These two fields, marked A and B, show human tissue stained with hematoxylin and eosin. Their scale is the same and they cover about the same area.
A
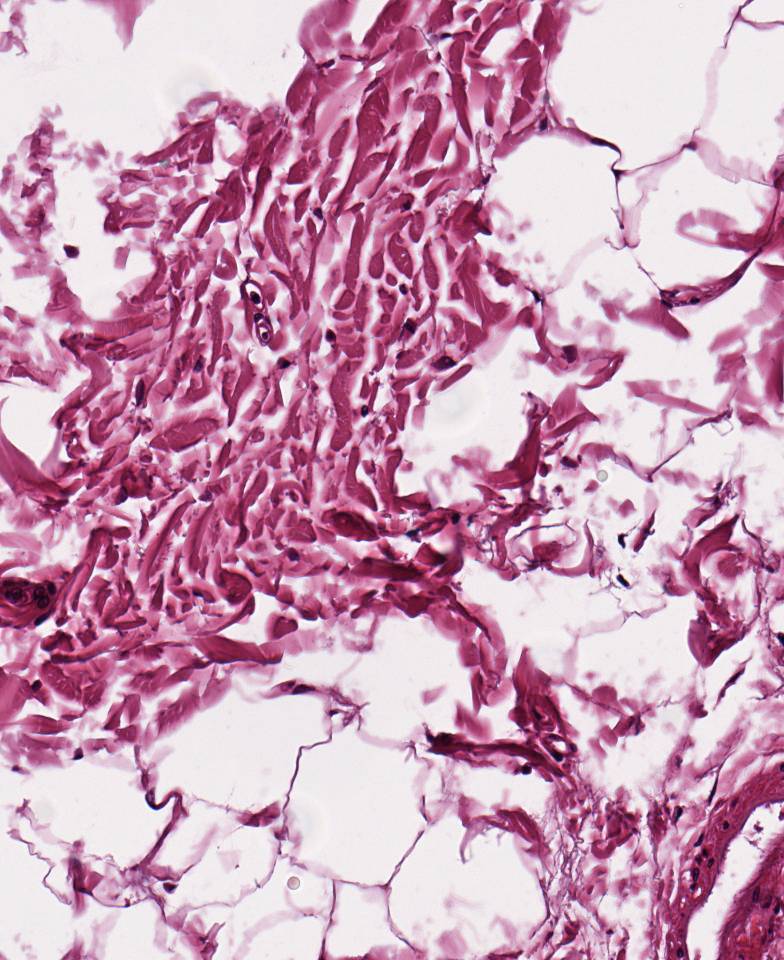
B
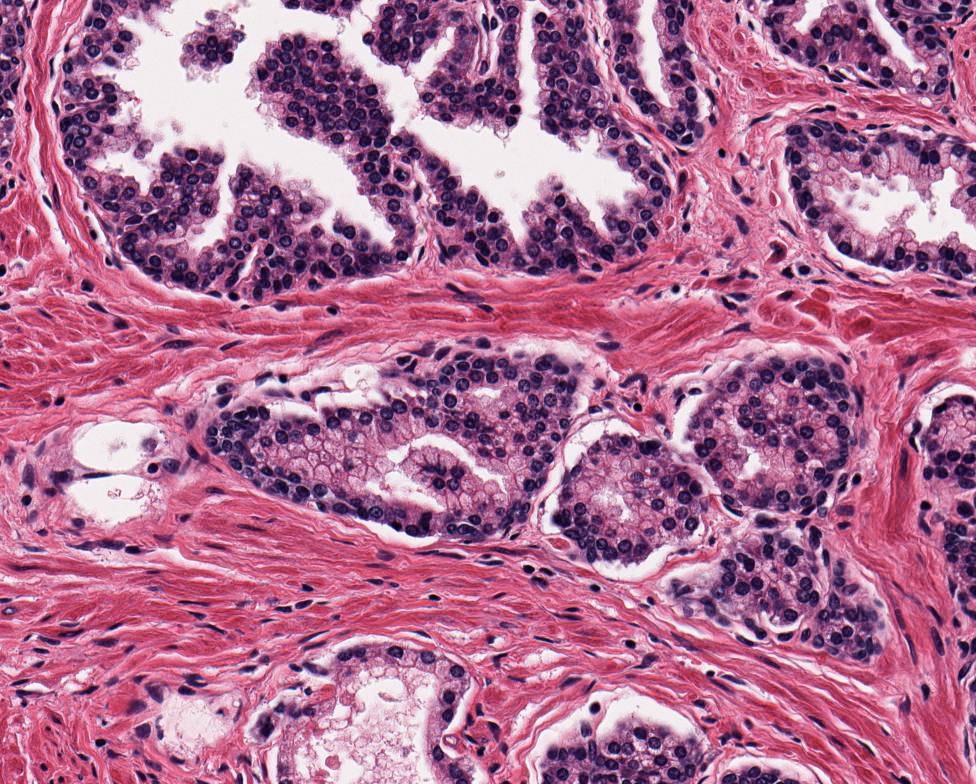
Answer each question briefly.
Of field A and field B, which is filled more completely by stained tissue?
B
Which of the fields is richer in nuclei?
B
